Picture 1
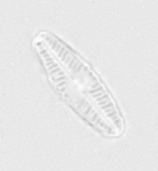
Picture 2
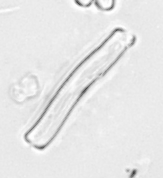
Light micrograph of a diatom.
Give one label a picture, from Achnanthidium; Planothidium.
Picture 1: Planothidium
Picture 2: Achnanthidium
